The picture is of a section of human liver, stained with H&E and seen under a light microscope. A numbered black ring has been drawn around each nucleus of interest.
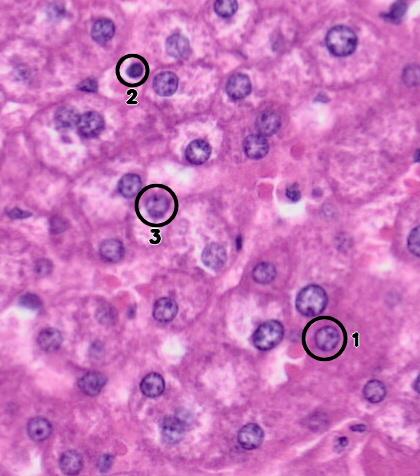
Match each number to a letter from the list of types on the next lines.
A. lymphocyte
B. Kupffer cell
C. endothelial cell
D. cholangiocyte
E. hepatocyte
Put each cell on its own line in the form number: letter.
1: E
2: A
3: E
